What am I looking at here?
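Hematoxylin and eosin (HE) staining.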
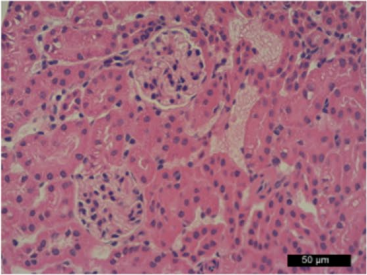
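This is kidney cortex with two glomeruli set among closely packed tubules. Each glomerulus is a rounded tuft of capillaries with many dark blue-purple nuclei, enclosed by a thin capsule with a narrow clear space between tuft and capsule. The surrounding tubules are cut mostly in cross-section and are lined by cuboidal cells with abundant pink cytoplasm and round blue nuclei. A small vessel containing pale pink material runs between the tubules.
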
